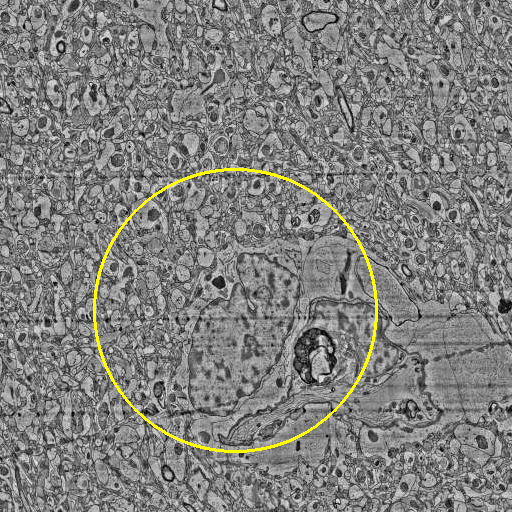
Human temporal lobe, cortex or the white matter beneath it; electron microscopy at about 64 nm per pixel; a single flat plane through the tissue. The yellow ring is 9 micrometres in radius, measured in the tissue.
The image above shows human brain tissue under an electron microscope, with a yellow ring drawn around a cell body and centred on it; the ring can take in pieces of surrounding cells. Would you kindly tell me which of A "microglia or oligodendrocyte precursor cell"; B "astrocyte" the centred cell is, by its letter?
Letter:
A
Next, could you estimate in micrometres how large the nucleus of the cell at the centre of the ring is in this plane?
The nucleus measures about 11 by 6 micrometres in this plane.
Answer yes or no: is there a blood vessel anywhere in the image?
Yes, one appears.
